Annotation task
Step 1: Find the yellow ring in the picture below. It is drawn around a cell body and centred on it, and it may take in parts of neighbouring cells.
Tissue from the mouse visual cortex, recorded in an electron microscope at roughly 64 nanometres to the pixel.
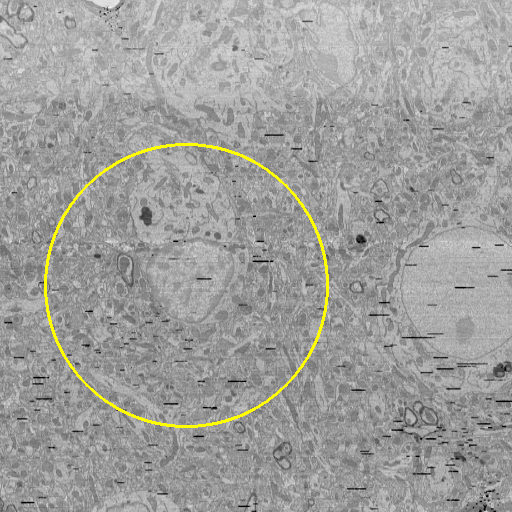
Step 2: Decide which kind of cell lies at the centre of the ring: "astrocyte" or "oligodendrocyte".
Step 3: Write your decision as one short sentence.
The kind of cell at the ring's centre is an oligodendrocyte.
